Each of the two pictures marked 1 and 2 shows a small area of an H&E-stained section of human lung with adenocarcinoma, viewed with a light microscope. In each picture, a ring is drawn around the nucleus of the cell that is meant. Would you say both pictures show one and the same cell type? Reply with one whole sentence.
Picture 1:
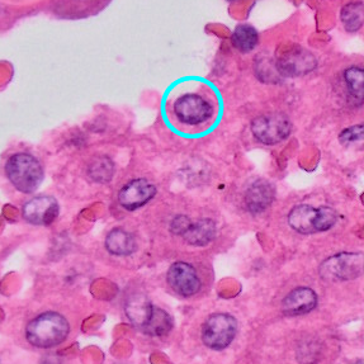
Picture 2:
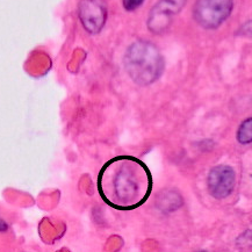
Yes, the two pictures both show “macrophages or monocytes”.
